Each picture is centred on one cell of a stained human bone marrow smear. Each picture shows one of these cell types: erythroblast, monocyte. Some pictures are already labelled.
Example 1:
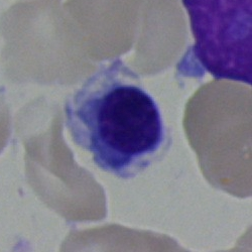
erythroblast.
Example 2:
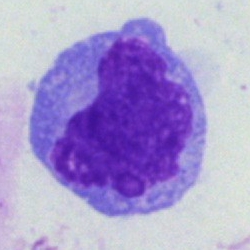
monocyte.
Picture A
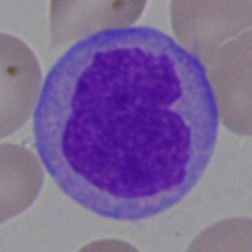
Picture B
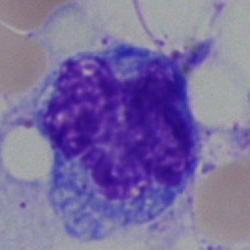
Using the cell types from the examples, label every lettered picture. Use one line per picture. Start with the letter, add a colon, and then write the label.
A: monocyte.
B: monocyte.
